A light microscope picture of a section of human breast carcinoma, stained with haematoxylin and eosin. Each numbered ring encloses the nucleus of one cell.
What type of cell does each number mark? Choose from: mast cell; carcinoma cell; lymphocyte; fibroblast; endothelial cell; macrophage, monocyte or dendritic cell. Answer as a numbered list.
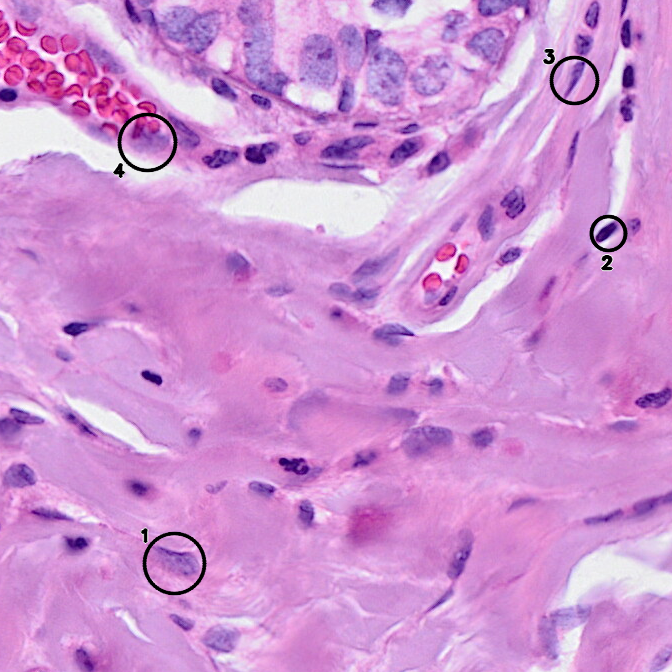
1. fibroblast
2. lymphocyte
3. fibroblast
4. endothelial cell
